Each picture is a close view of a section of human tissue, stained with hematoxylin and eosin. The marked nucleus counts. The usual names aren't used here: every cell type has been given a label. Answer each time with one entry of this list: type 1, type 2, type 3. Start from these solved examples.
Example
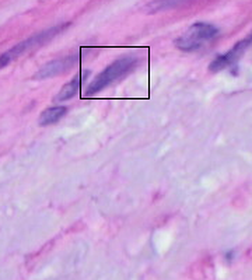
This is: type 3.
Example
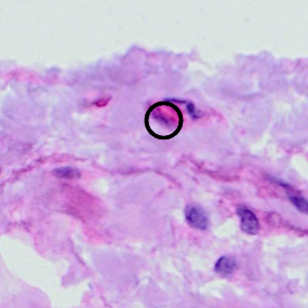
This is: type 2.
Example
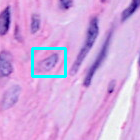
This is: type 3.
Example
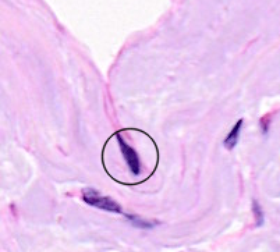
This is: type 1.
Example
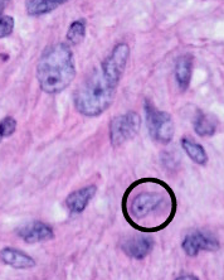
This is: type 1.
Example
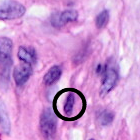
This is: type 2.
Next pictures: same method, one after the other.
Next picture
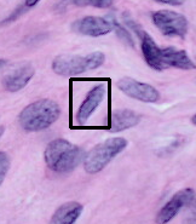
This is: type 1.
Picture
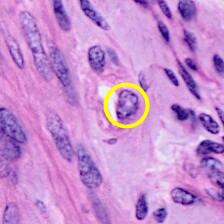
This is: type 2.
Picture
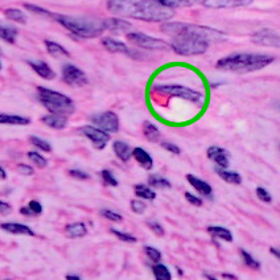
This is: type 2.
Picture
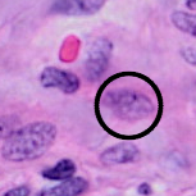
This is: type 2.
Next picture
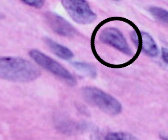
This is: type 2.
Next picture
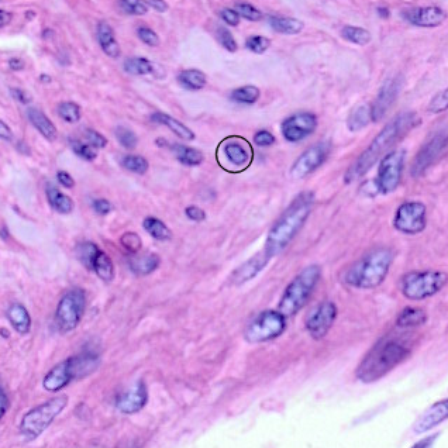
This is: type 3.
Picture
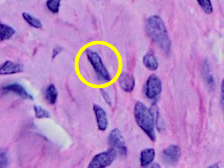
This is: type 1.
